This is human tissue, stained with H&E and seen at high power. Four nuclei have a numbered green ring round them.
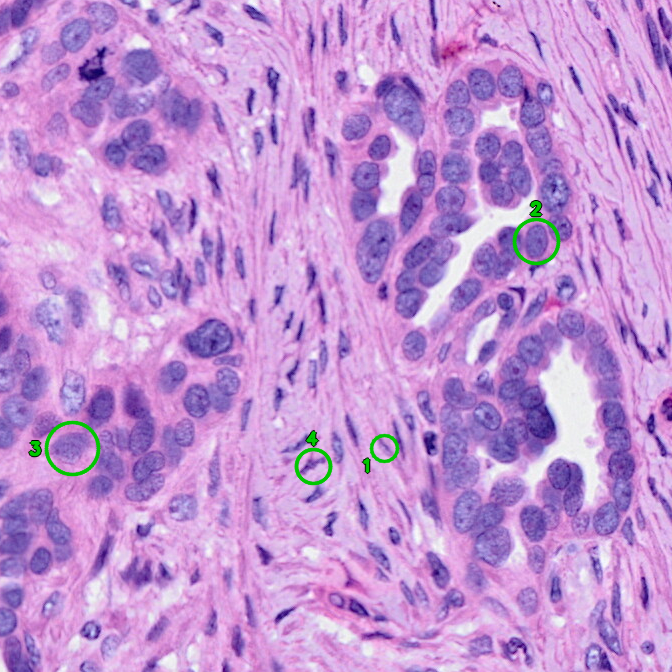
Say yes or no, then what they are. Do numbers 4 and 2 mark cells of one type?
No, here cell 4 is a fibroblast, whereas cell 2 is a carcinoma cell.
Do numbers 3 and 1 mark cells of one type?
No, the cell bearing number 3 is a carcinoma cell, while the one bearing number 1 is a fibroblast.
